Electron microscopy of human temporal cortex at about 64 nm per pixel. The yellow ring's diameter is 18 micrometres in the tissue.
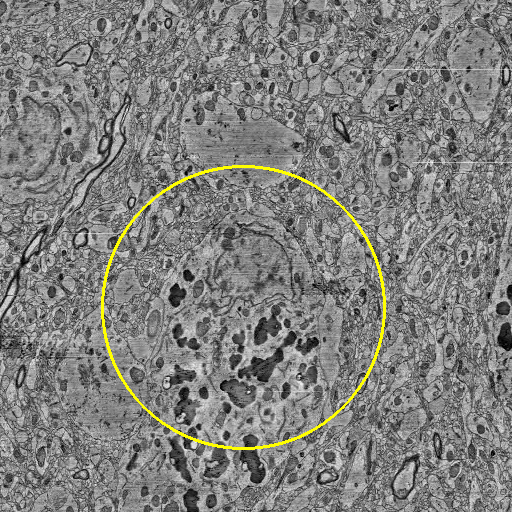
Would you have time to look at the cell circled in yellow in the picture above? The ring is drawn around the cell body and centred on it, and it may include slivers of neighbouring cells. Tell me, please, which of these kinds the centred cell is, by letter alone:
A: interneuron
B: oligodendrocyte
A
